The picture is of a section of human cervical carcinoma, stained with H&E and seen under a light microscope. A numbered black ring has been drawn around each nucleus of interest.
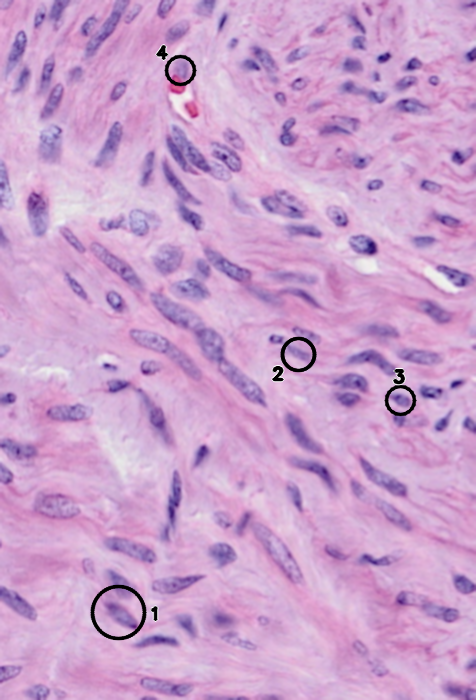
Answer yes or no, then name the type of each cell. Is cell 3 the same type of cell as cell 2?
Yes, cells 3 and 2 are of one type, both being smooth muscle cells.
